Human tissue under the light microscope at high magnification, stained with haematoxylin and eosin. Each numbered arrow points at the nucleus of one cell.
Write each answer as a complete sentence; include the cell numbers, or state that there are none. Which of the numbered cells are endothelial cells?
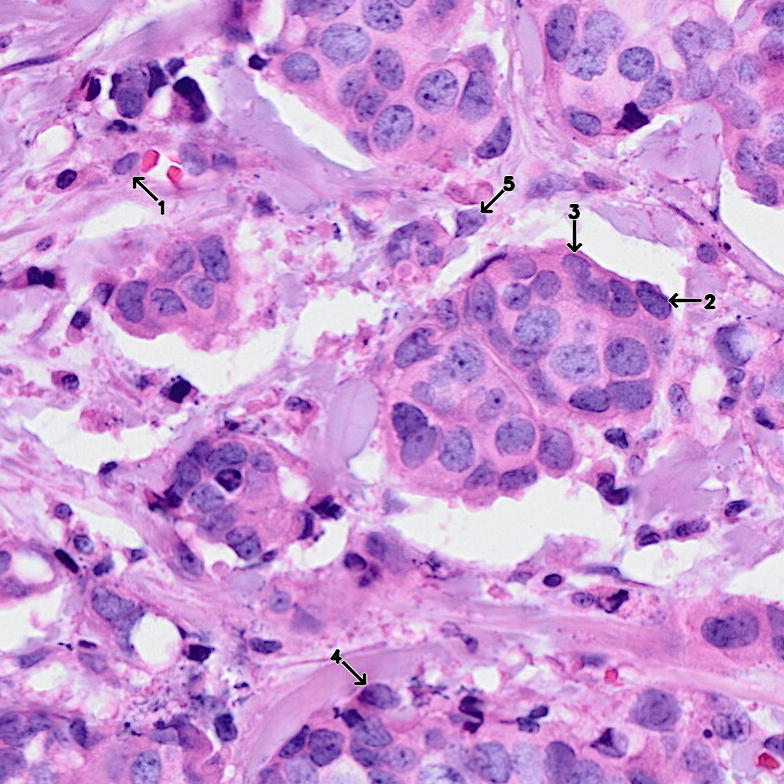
There is only one numbered cell that is an endothelial cell, and it is cell 1.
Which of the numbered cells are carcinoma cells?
The cells that the numbers 2, 3 and 4 belong to are carcinoma cells.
